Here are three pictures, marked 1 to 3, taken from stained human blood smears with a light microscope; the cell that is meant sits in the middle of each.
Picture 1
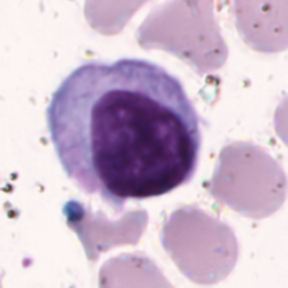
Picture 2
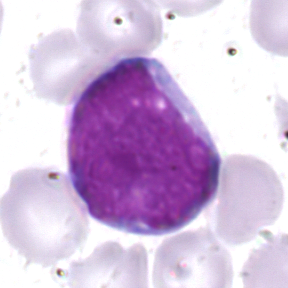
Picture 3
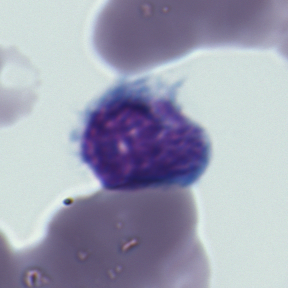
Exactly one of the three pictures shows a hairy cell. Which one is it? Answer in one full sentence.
It is picture 3 that shows the hairy cell.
